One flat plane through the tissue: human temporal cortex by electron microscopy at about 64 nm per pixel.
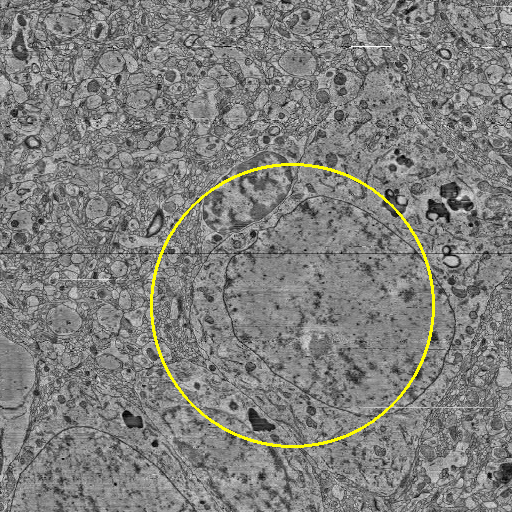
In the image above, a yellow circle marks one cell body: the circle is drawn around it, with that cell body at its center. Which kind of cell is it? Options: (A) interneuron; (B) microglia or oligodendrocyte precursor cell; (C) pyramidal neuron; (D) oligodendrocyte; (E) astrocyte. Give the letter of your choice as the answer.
C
